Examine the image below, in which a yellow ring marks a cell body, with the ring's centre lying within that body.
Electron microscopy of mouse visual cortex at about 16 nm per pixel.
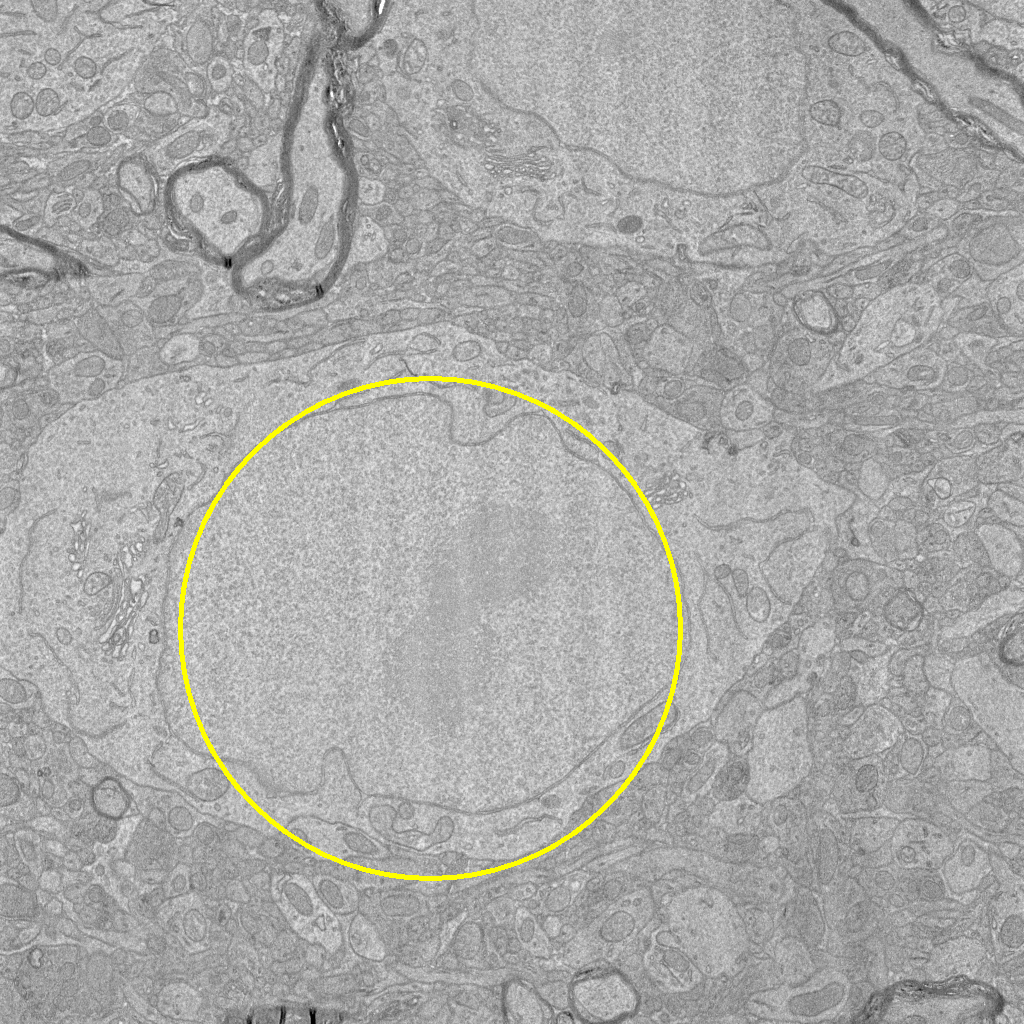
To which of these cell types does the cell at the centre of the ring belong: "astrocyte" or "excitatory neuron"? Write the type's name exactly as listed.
excitatory neuron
